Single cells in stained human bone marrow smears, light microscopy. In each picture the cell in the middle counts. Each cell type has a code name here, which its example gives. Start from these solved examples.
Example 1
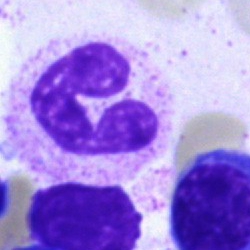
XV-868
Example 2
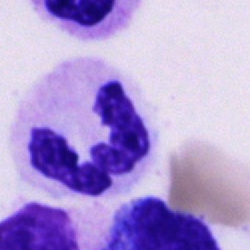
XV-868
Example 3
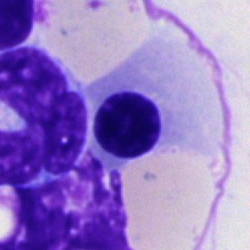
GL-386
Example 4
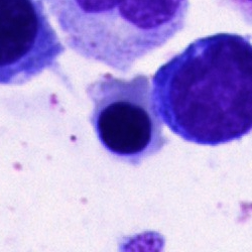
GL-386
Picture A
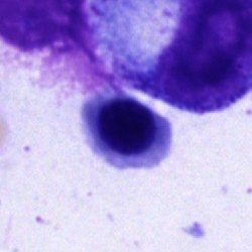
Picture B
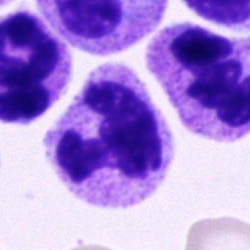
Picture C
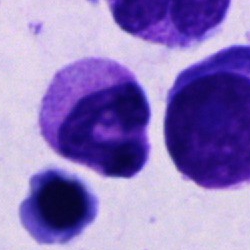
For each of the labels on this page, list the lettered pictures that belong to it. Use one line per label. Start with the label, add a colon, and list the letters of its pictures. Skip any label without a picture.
XV-868: B, C
GL-386: A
